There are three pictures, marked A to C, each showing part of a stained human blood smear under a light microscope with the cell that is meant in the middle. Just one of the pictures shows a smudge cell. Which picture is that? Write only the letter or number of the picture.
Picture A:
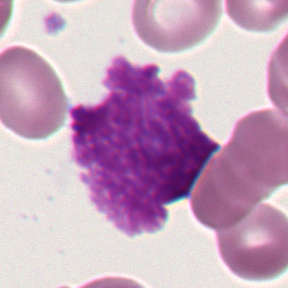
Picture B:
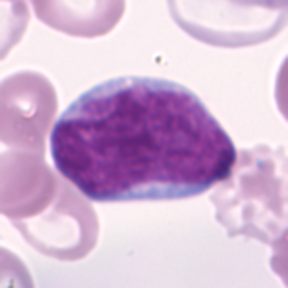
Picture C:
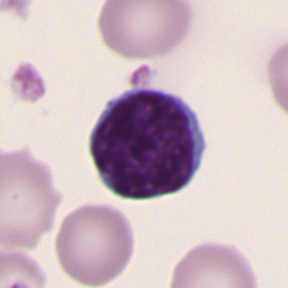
A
